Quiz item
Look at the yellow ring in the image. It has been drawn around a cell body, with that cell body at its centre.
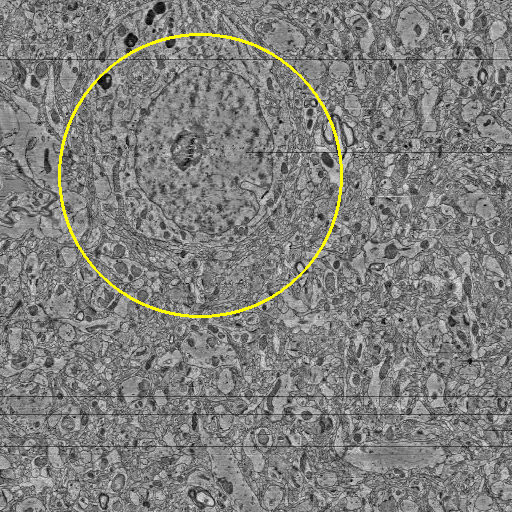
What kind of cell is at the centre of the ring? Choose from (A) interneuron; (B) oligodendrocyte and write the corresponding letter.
A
